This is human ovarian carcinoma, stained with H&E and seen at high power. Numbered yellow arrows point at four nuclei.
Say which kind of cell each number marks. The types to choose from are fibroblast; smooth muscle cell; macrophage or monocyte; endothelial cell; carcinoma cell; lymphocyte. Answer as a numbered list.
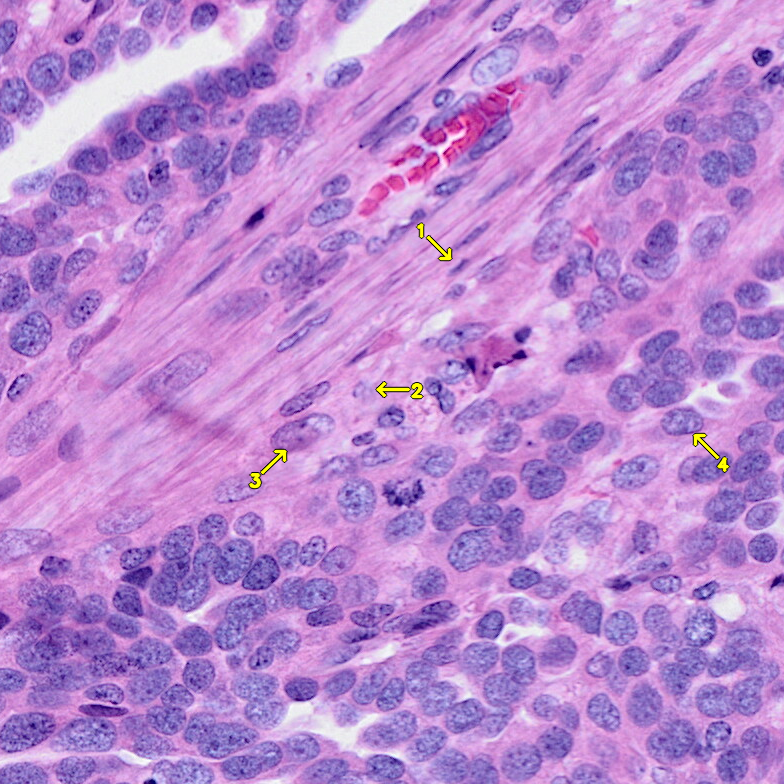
1. fibroblast
2. fibroblast
3. fibroblast
4. carcinoma cell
